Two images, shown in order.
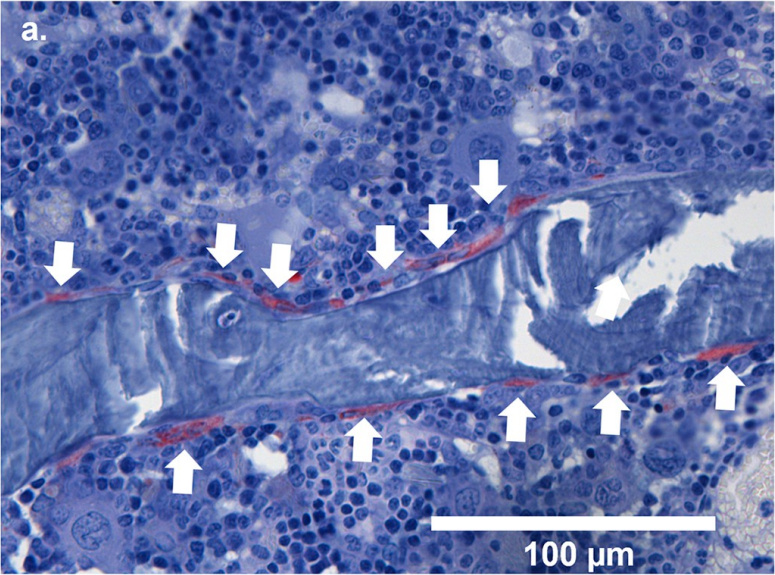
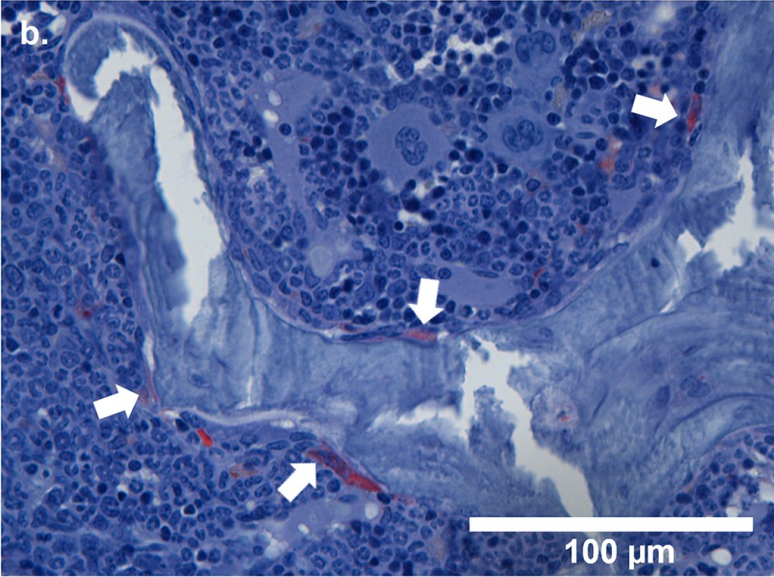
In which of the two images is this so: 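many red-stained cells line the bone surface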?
The first image.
